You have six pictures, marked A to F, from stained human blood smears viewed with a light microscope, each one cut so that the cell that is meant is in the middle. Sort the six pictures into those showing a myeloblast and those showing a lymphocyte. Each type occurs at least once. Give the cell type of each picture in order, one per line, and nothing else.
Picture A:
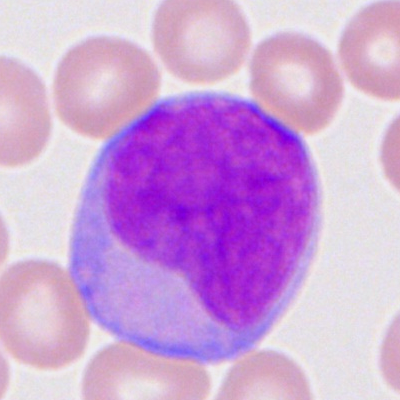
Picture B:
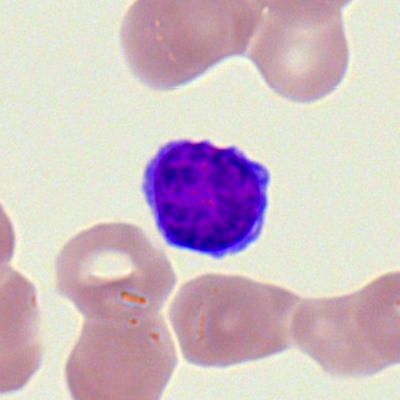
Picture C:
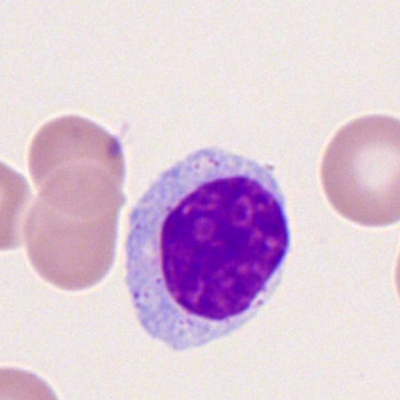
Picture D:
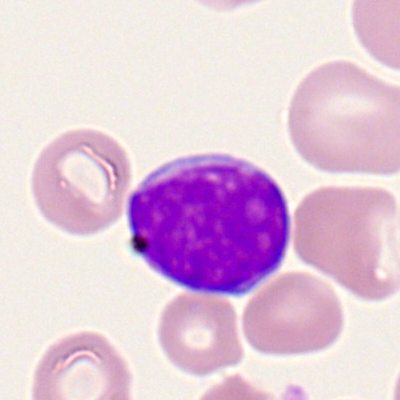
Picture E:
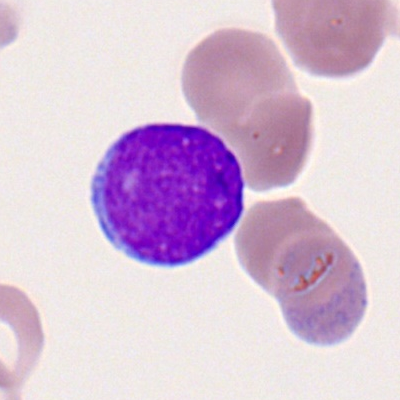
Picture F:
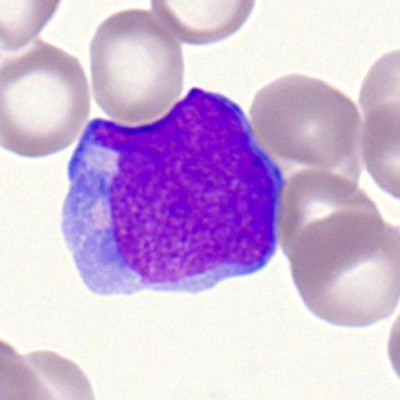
myeloblast
lymphocyte
lymphocyte
myeloblast
myeloblast
myeloblast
